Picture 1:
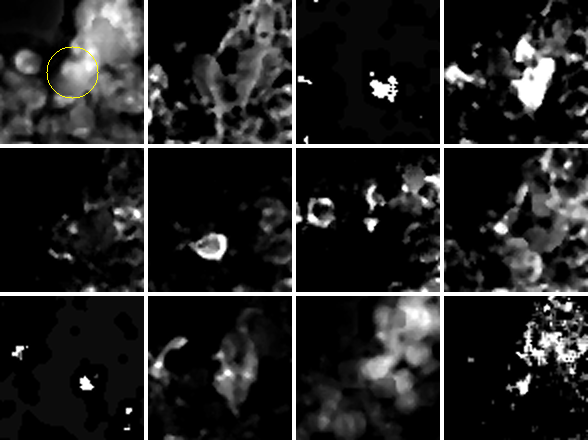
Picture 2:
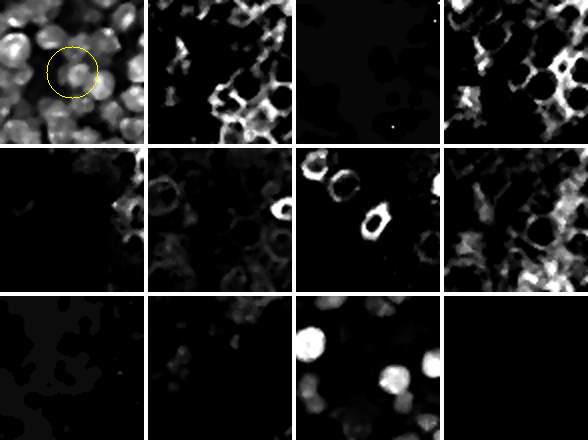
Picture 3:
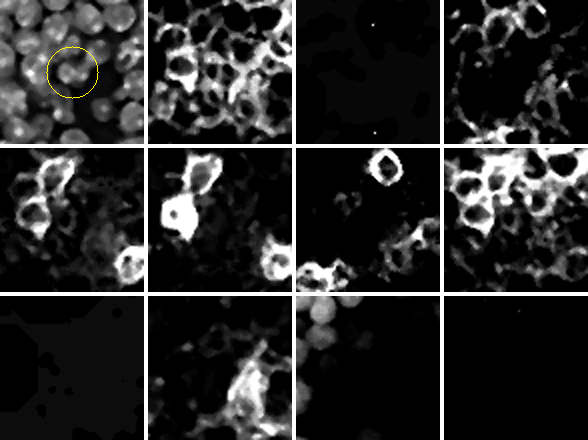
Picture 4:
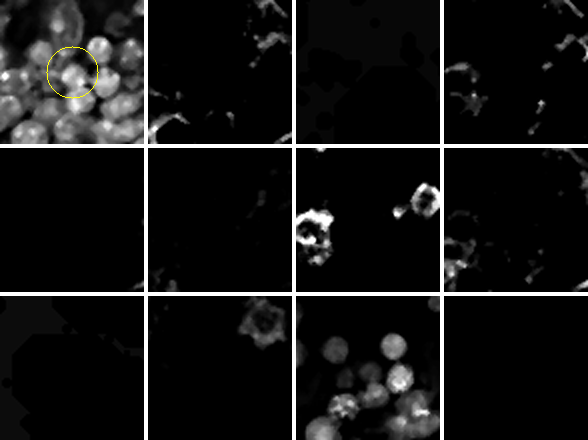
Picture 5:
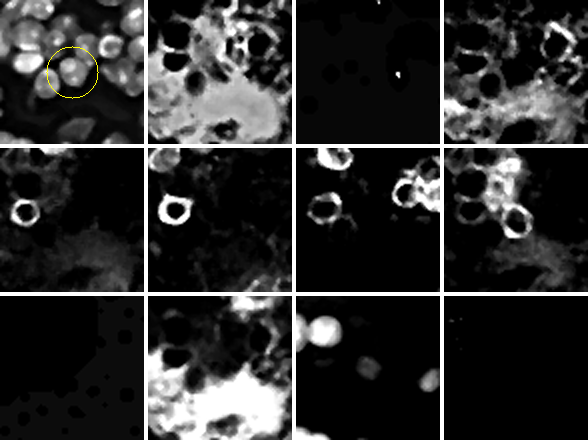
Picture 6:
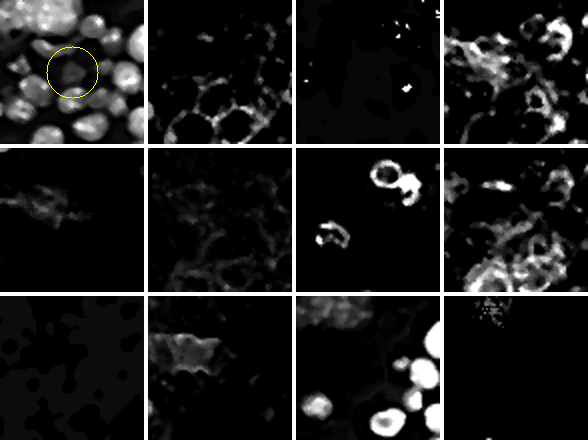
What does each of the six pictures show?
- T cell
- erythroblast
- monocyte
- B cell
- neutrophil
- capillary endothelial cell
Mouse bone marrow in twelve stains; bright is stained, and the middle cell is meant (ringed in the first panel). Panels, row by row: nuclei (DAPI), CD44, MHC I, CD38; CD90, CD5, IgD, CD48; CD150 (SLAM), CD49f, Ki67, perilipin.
1. capillary endothelial cell
2. B cell
3. neutrophil
4. erythroblast
5. monocyte
6. capillary endothelial cell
